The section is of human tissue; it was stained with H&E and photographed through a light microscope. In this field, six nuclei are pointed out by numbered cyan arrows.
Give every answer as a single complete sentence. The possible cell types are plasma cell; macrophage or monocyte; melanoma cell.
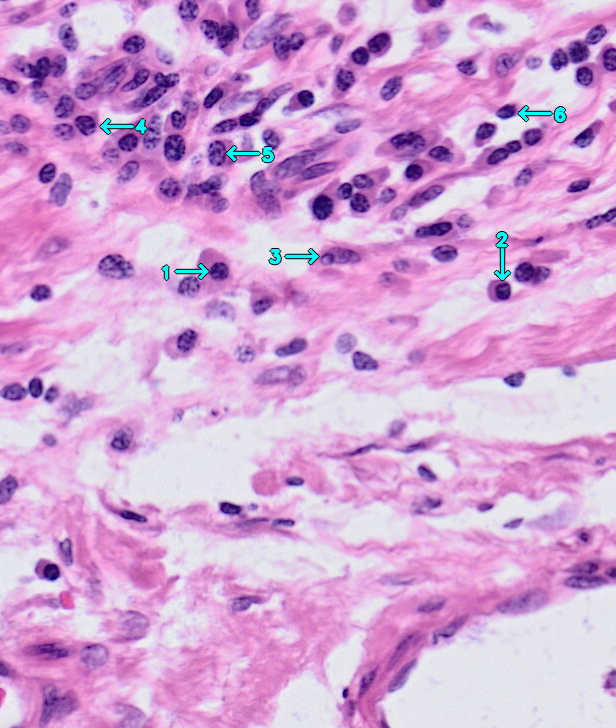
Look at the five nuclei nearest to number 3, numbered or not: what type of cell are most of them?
Most of the five nuclei nearest to number 3 are those of plasma cells.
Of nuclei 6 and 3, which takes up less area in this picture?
Number 6 is smaller, since number 3 takes up about 1.5 times as much area.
